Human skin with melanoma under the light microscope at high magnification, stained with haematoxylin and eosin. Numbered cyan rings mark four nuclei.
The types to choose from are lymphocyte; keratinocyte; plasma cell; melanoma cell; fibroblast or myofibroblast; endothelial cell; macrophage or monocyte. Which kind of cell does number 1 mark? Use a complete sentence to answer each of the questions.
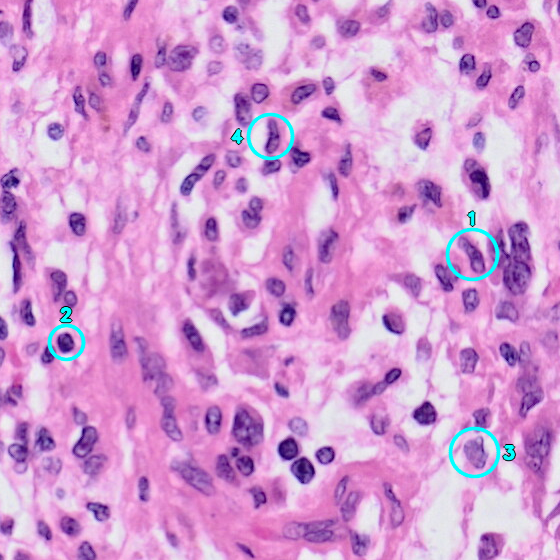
The correct answer for cell 1 is a macrophage or monocyte.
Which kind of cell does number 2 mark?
Among the marked cells, number 2 is a lymphocyte.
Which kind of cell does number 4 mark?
Heads up, the cell numbered 4 is a macrophage or monocyte.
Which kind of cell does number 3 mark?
The cell that goes by number 3 is a macrophage or monocyte.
